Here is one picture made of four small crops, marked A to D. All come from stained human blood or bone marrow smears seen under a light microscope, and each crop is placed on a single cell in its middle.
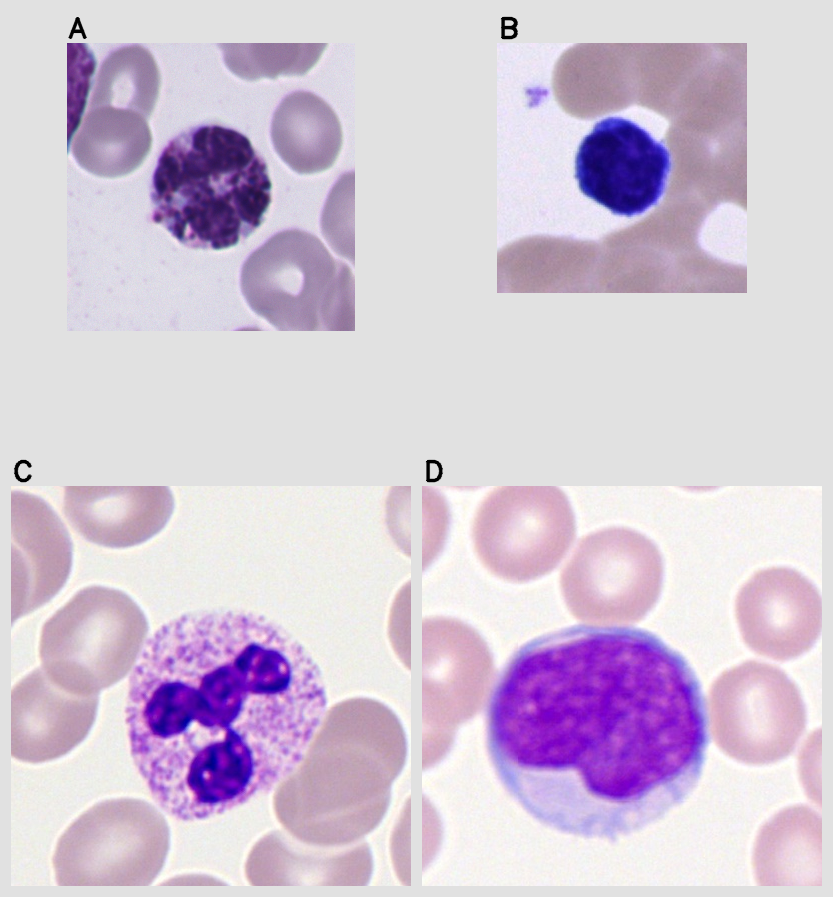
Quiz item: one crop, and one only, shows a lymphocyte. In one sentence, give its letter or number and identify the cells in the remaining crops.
The cell centred in crop B is a lymphocyte; by contrast, crop A is a basophil, crop C is a segmented neutrophil and crop D is a blast.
